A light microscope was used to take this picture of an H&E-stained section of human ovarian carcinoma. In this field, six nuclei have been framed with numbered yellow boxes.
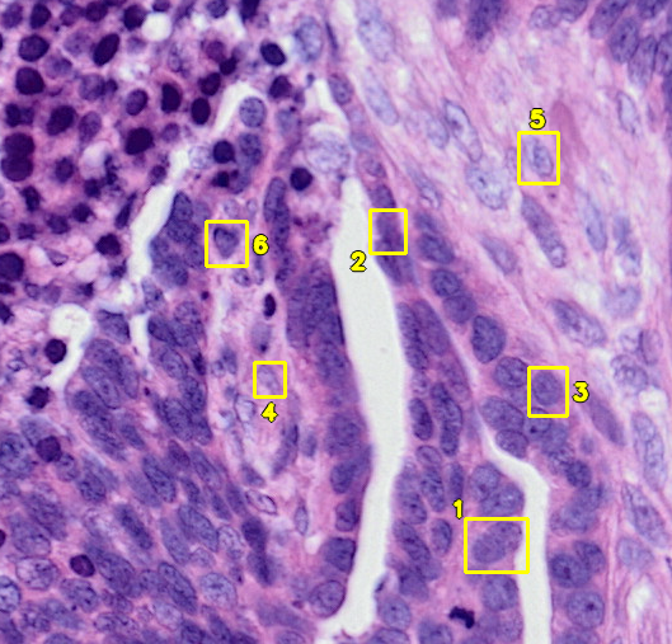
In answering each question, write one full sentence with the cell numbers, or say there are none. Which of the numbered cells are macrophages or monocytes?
Cell number 6 alone is a macrophage or monocyte; the rest are not.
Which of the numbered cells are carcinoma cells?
The cells that bear the numbers 1, 2 and 3 are carcinoma cells.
